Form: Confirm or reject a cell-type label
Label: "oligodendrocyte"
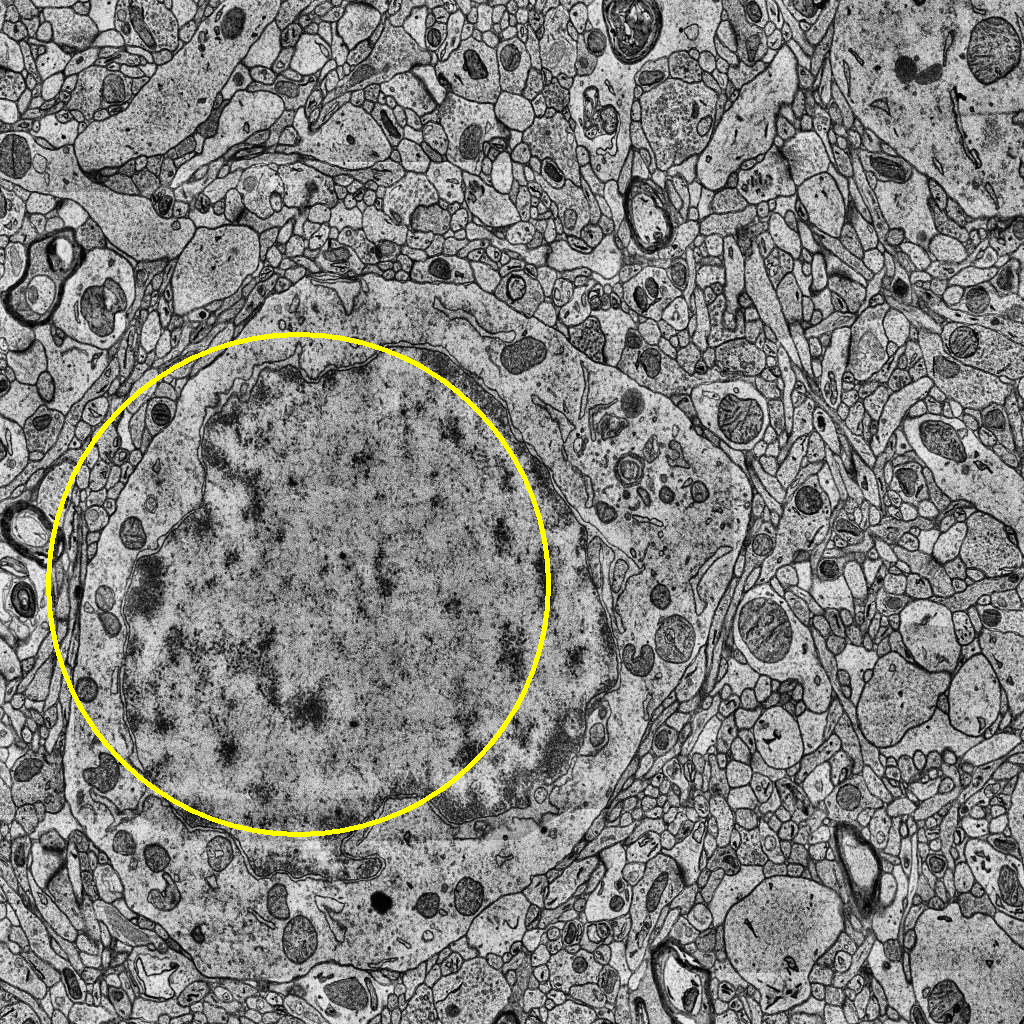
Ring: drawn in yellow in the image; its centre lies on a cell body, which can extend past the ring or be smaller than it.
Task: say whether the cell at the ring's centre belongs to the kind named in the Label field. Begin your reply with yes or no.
No, it belongs to another kind.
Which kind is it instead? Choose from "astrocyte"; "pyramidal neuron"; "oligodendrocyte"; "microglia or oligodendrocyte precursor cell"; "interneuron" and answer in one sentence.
The cell at the middle of the ring is an interneuron.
